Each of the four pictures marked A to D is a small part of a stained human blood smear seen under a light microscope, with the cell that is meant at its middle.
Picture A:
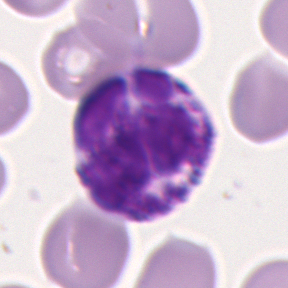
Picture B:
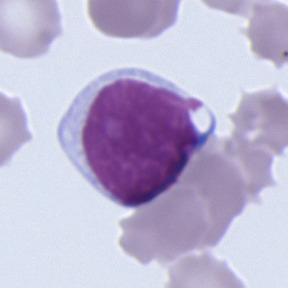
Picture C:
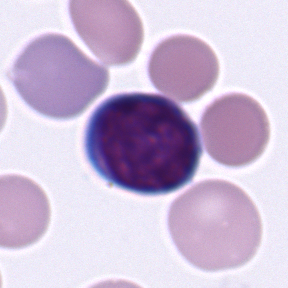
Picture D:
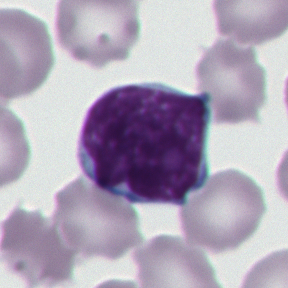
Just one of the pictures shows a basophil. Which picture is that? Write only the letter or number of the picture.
A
